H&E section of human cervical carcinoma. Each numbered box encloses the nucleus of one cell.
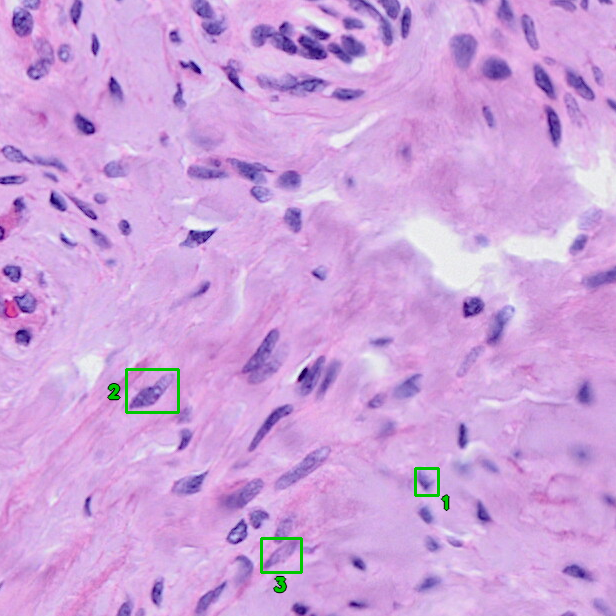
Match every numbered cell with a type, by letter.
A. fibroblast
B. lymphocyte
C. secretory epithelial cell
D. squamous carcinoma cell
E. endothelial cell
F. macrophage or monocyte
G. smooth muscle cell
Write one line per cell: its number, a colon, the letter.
1: A
2: A
3: G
